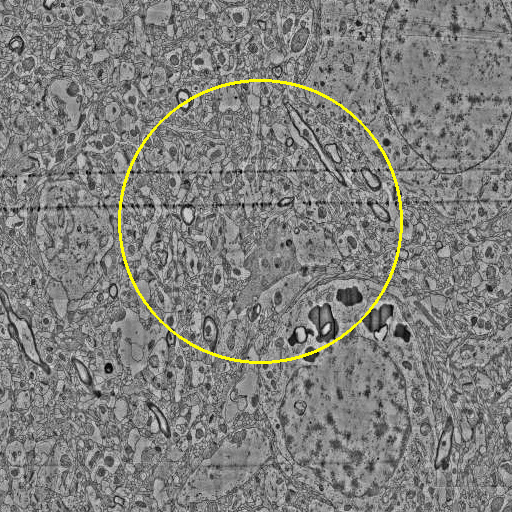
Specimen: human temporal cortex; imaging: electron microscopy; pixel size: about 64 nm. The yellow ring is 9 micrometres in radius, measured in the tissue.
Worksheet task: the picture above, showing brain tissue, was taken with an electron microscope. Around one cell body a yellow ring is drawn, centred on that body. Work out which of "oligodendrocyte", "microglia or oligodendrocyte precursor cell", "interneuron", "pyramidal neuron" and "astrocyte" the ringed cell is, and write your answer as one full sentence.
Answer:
It is an oligodendrocyte whose cell body lies at the centre of the yellow ring.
